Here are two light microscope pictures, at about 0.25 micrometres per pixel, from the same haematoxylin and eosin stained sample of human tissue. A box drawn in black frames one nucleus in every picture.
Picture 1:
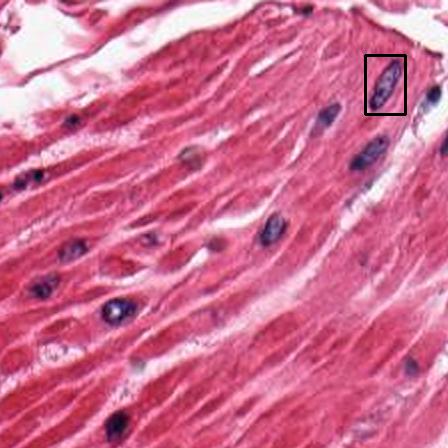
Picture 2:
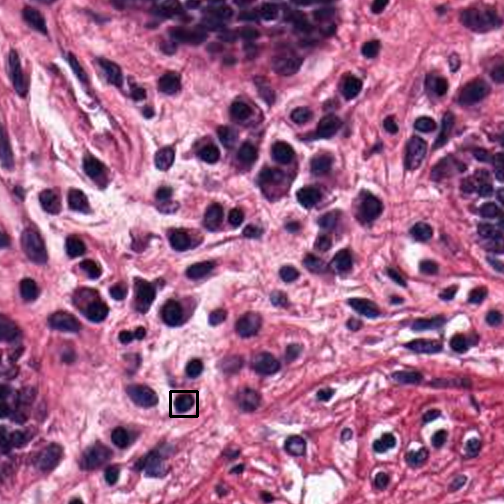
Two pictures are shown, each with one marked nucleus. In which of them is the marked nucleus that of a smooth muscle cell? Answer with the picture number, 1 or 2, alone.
1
